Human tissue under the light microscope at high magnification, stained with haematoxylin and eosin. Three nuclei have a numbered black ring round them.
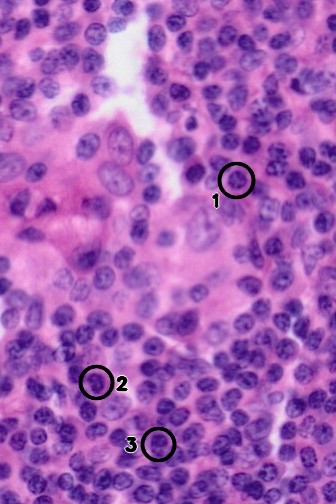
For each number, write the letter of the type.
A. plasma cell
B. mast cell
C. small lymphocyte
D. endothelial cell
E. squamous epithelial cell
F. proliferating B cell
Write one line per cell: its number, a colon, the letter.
1: A
2: A
3: C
